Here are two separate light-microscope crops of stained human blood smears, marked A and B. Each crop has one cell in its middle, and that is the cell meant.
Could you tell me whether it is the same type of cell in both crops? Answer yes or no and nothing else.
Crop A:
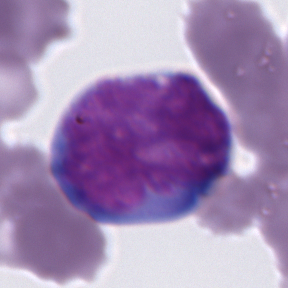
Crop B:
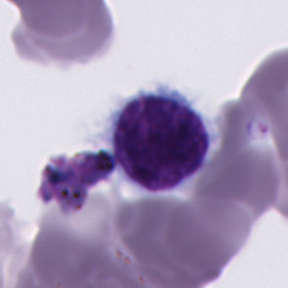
no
